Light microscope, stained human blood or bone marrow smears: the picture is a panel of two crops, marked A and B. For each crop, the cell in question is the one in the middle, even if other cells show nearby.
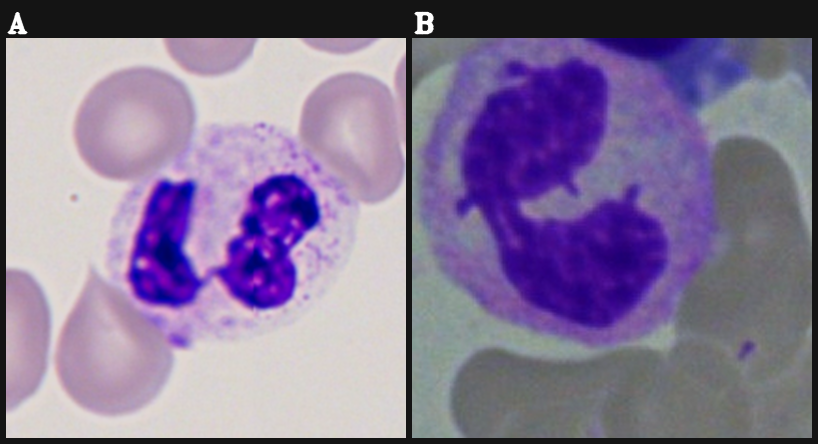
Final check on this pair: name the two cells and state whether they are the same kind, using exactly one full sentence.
Yes, it is segmented neutrophils that sit at the centre of both crops.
